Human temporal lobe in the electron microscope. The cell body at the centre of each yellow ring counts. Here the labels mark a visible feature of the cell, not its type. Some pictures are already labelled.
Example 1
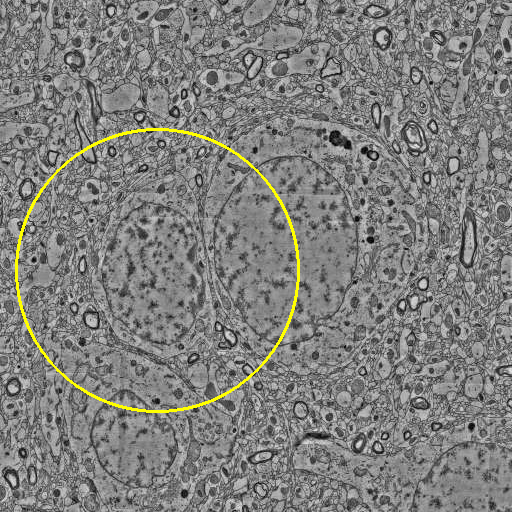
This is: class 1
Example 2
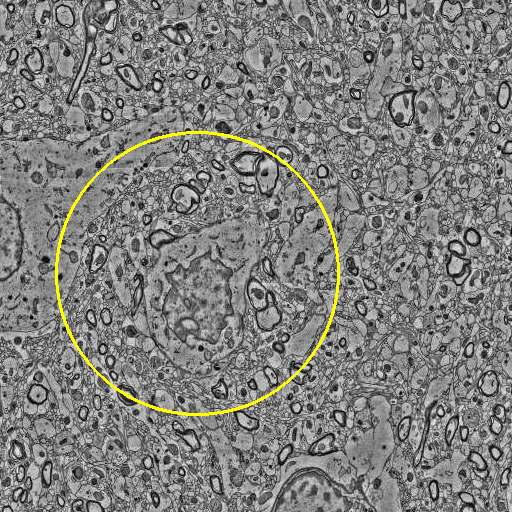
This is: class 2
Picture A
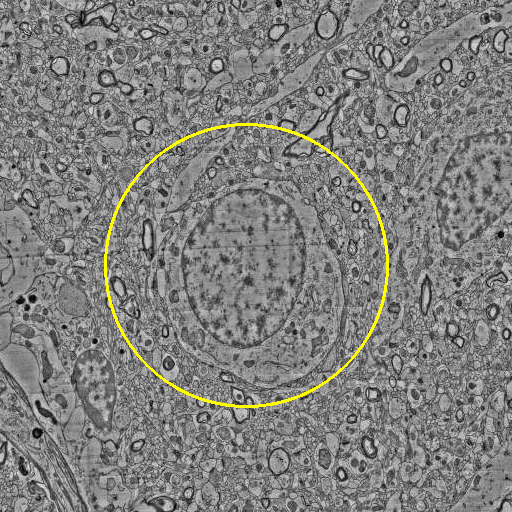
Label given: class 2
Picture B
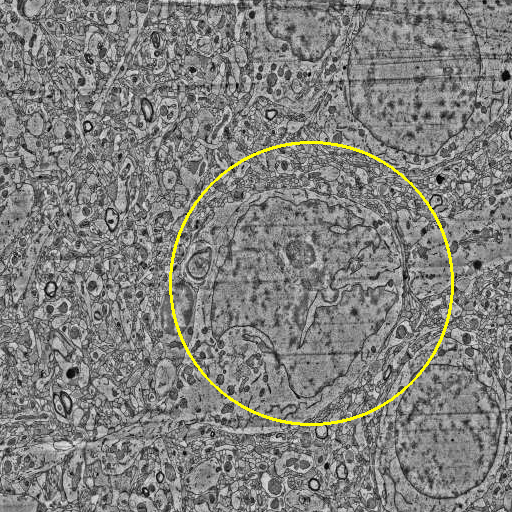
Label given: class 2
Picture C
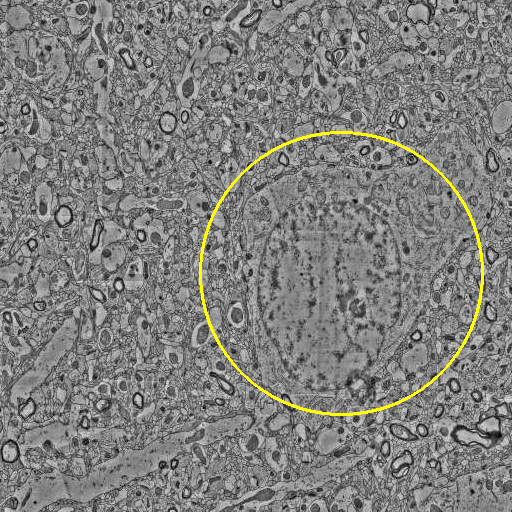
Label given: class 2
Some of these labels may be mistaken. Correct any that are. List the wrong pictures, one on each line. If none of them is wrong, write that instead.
A is labelled class 2; correct label: class 1
C is labelled class 2; correct label: class 1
